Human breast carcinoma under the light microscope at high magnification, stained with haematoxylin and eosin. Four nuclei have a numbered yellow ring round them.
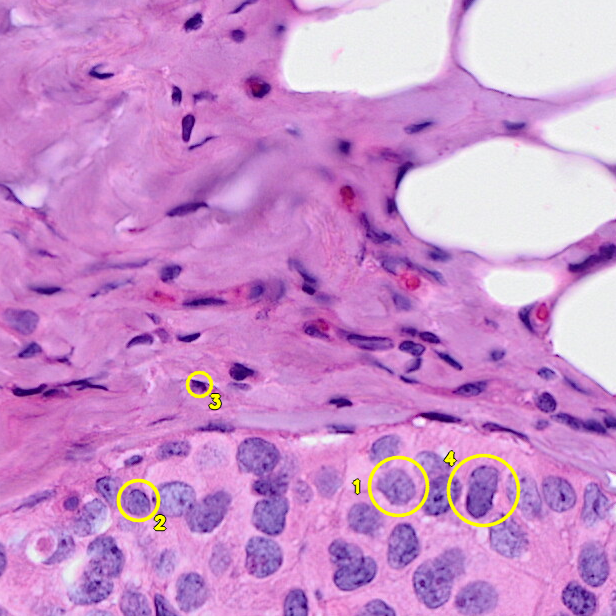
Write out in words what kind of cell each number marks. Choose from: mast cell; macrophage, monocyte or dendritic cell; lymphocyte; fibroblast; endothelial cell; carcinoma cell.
Cells 1, 2 and 4 are carcinoma cells. Cell 3 is a fibroblast.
